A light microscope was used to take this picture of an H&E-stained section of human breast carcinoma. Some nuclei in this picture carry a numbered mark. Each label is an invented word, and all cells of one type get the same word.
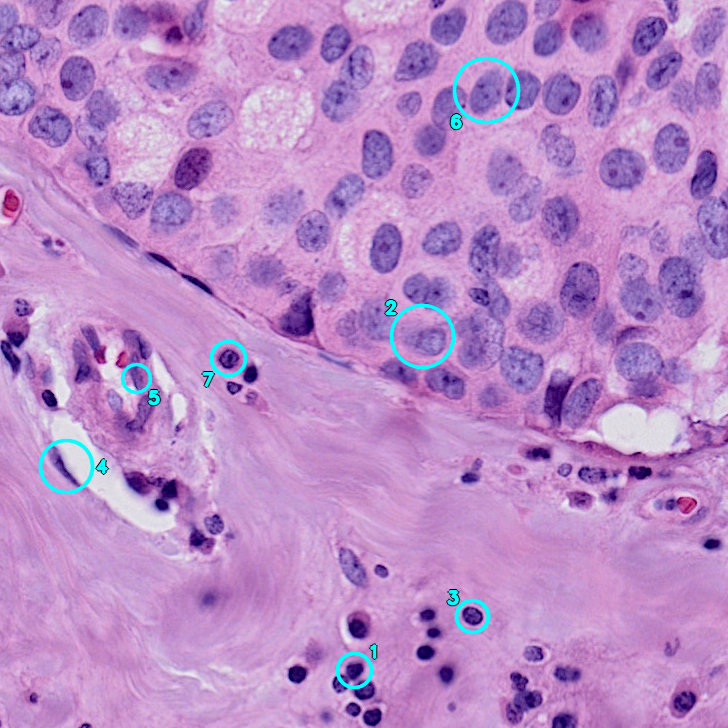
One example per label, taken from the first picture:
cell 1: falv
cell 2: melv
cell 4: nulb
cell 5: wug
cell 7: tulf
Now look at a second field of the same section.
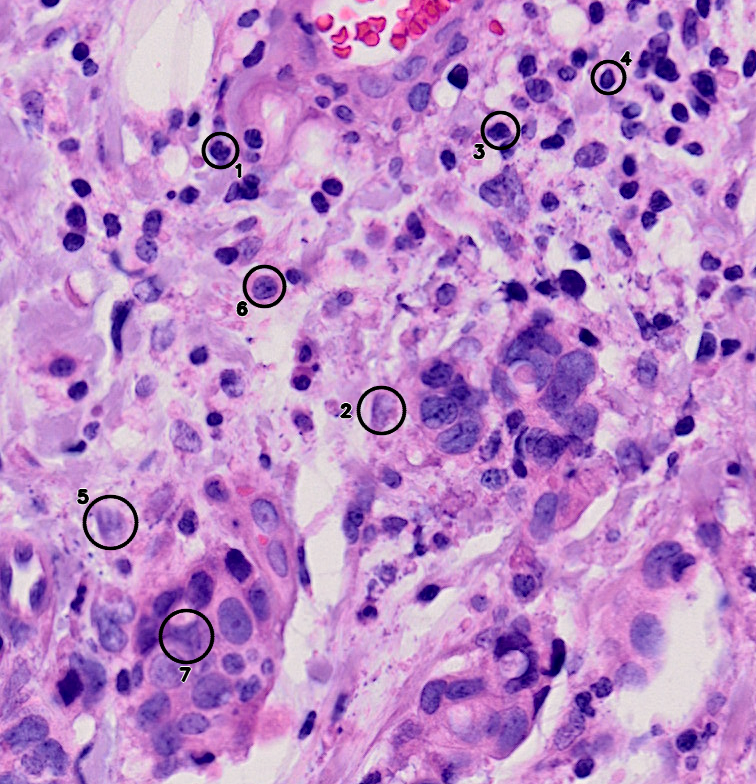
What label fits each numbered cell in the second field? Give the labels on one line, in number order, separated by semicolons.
falv; nulb; falv; falv; nulb; tulf; melv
